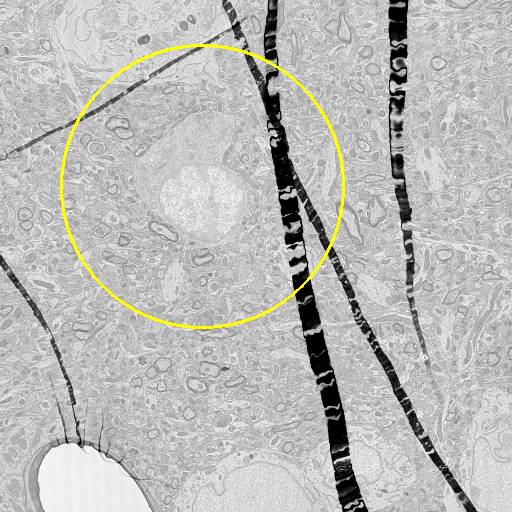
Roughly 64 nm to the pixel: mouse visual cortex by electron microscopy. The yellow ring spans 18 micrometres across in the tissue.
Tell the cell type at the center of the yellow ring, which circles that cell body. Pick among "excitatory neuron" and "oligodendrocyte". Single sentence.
The ring is centered on the body of an oligodendrocyte.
